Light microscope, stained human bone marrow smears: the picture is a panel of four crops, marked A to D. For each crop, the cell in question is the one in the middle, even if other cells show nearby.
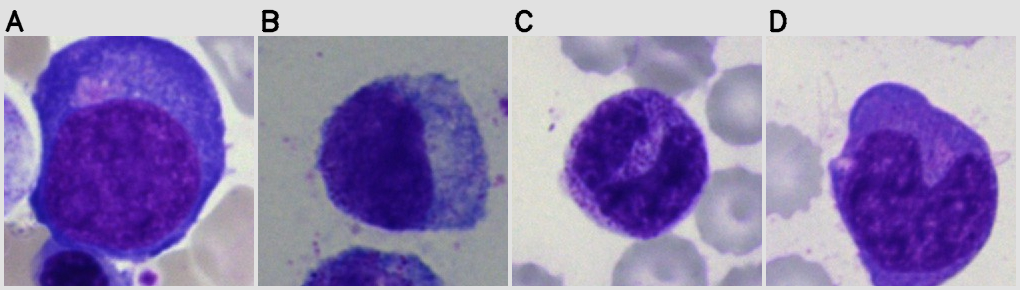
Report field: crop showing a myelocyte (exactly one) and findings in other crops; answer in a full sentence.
At the centre of crop B lies a myelocyte, while crop A is a proerythroblast, crop C is a band neutrophil and crop D is a monocyte.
